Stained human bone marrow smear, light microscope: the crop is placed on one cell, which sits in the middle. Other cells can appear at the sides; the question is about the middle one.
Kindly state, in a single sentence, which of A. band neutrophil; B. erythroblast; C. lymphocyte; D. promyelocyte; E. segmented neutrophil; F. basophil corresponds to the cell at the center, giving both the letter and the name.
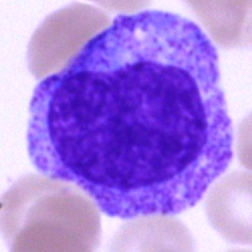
Since the middle cell is a promyelocyte, option D is the right one.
